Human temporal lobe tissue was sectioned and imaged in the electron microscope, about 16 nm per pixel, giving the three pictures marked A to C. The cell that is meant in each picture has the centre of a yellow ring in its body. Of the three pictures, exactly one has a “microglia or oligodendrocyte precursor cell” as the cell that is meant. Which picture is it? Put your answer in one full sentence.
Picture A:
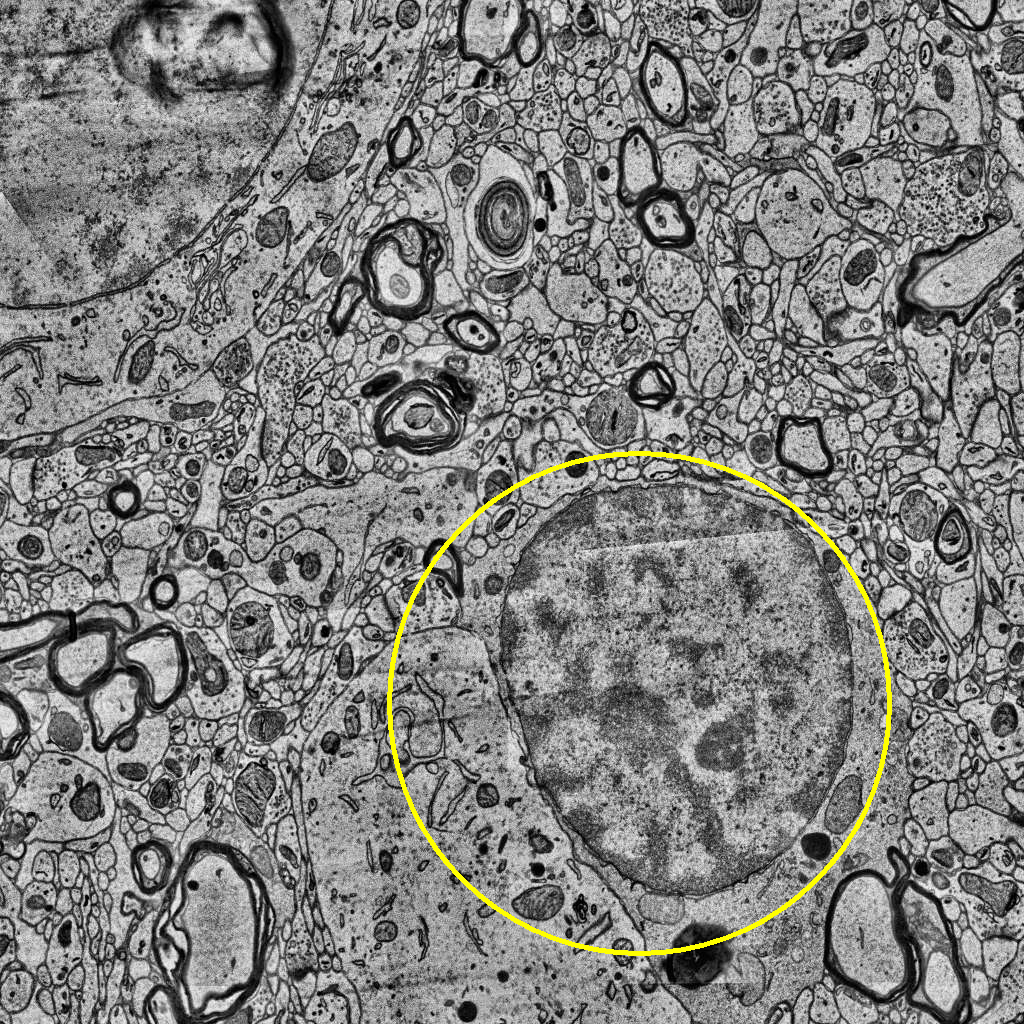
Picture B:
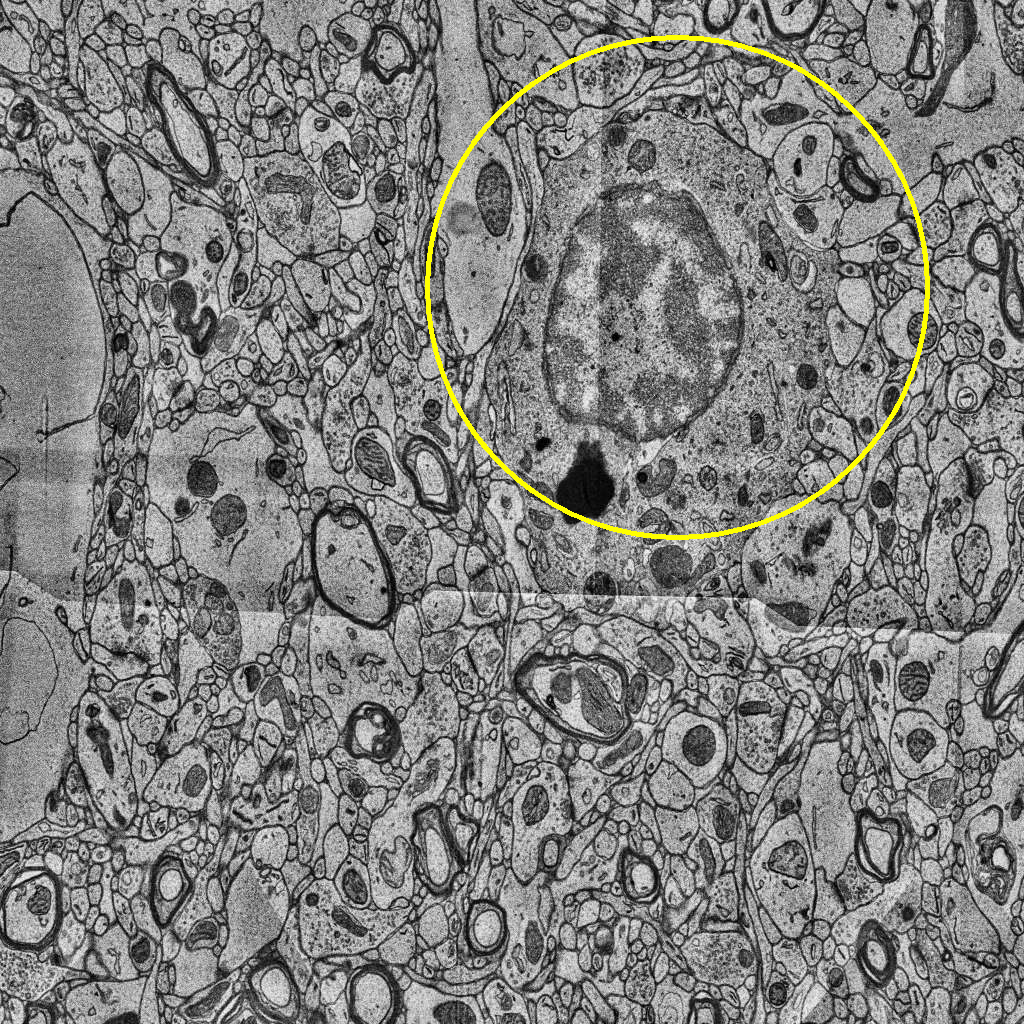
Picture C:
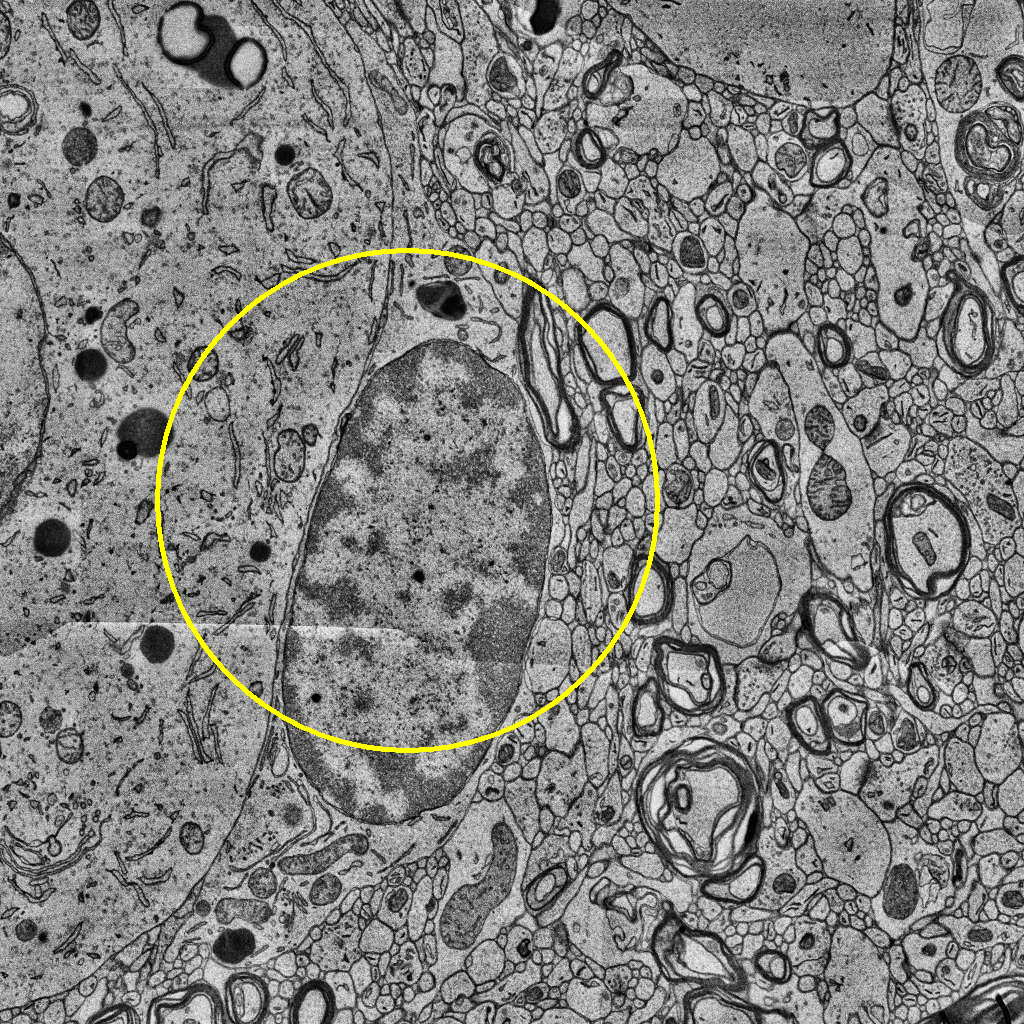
It is picture C that shows the “microglia or oligodendrocyte precursor cell”.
